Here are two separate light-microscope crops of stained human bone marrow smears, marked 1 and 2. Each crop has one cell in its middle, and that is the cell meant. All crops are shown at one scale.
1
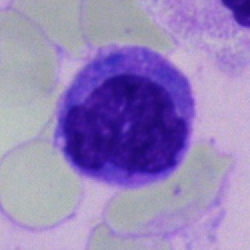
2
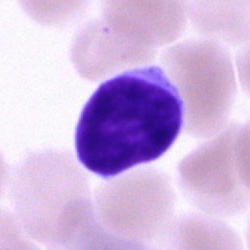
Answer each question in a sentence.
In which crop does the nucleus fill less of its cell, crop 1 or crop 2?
In crop 1 the nucleus takes up the smaller part of its cell.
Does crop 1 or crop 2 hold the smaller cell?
The cell in crop 2 is smaller; the one in crop 1 has about 1.5 times its area.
